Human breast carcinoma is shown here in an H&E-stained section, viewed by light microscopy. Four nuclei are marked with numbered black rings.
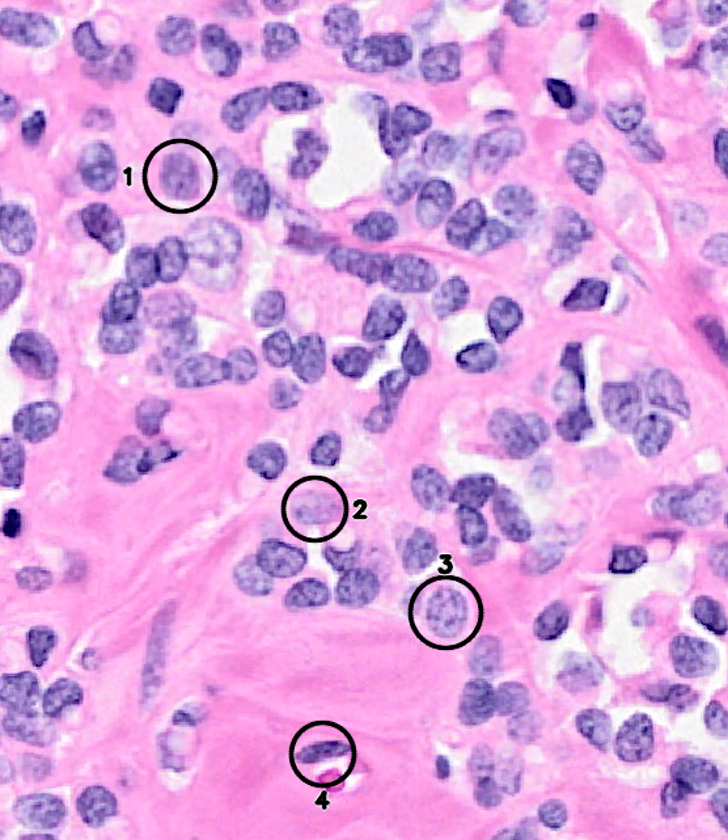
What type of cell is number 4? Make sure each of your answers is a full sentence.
The cell that bears the number 4 is an endothelial cell.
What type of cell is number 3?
Identified by the number 3, the cell is a carcinoma cell.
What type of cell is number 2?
In the marked set, the cell given number 2 is a carcinoma cell.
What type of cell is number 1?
Recognised here as a carcinoma cell is the cell numbered 1.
